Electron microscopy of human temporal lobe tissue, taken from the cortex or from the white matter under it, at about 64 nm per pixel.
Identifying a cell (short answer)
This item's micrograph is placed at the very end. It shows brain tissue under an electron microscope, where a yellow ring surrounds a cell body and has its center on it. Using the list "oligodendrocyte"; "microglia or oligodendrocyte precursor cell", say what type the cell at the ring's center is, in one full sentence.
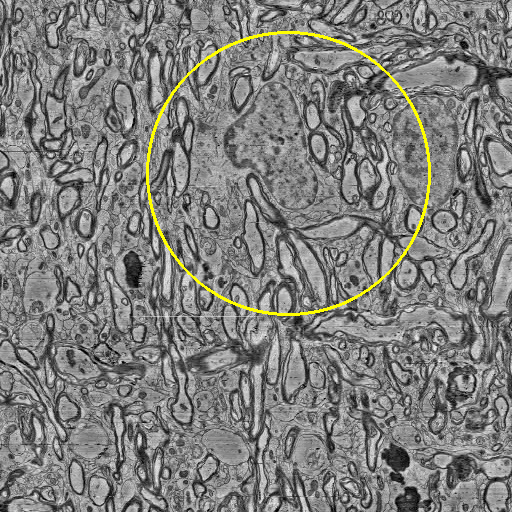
This picture shows a microglial cell or oligodendrocyte precursor cell at the center of the yellow ring drawn on it.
